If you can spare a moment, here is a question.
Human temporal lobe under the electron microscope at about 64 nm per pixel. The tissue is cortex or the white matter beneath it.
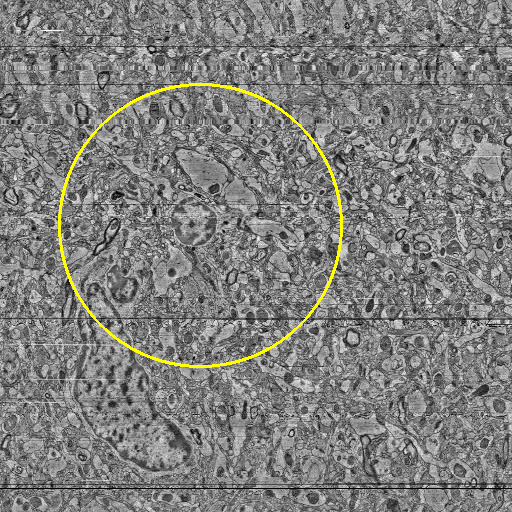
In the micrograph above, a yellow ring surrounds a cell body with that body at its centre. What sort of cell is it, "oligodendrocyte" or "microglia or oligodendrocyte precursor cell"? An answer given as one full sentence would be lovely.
Centred inside the yellow ring, the cell body shown belongs to a microglial cell or oligodendrocyte precursor cell in this micrograph.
